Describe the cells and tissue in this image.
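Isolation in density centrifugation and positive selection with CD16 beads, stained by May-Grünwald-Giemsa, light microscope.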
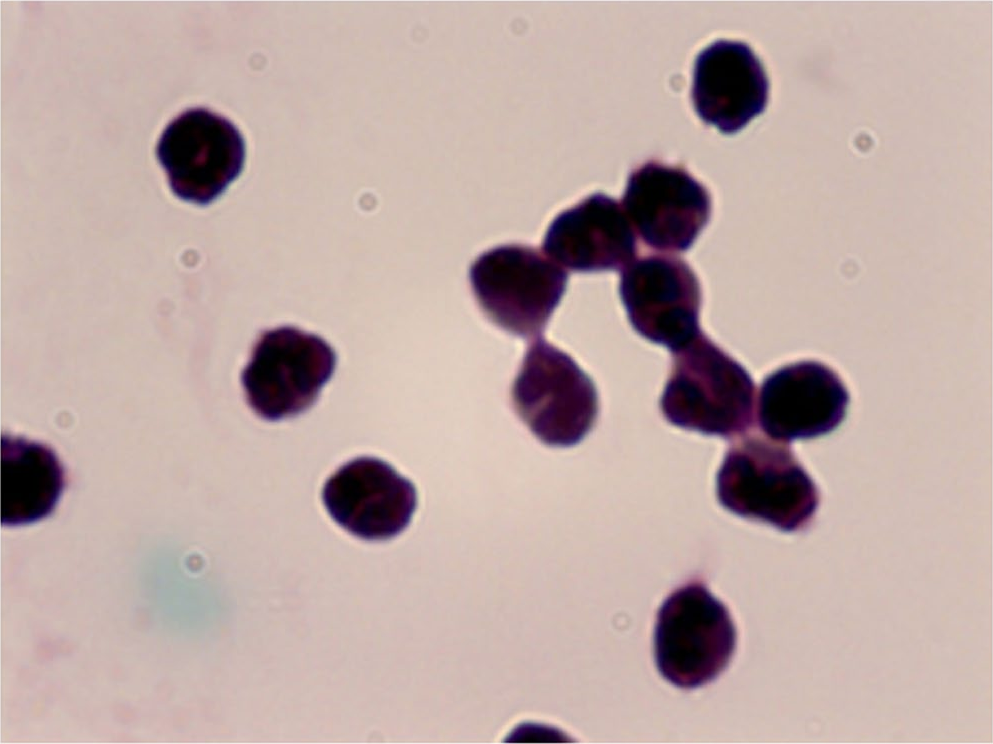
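The cells are round to slightly oval and of similar size. No other cell types are apparent among them.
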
